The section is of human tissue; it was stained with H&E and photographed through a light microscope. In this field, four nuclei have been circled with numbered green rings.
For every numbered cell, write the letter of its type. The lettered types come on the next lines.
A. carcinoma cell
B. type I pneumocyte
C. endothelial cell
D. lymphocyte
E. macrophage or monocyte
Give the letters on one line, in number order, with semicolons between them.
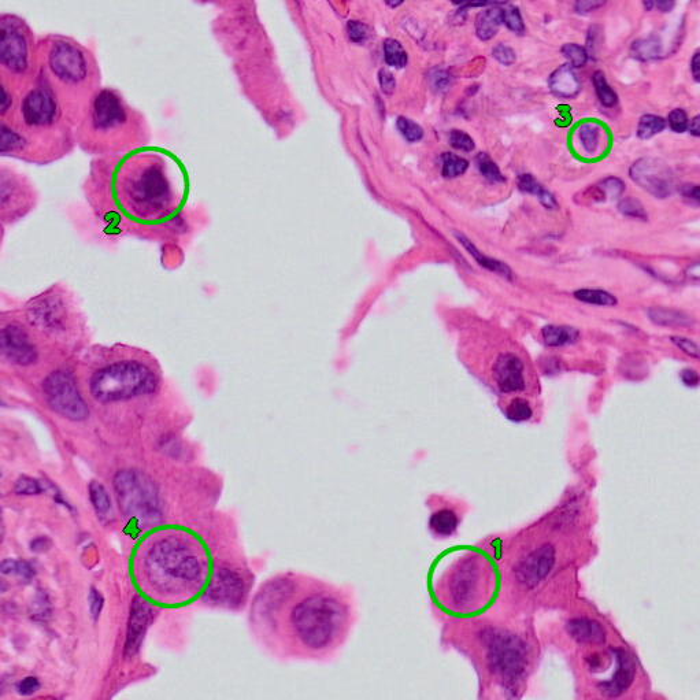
A; A; D; A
